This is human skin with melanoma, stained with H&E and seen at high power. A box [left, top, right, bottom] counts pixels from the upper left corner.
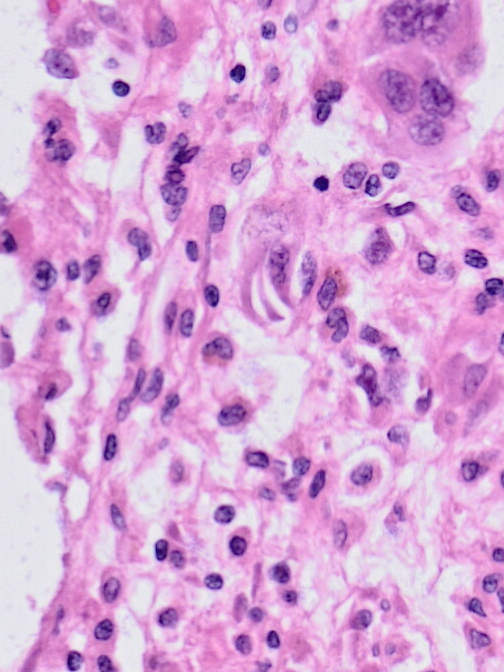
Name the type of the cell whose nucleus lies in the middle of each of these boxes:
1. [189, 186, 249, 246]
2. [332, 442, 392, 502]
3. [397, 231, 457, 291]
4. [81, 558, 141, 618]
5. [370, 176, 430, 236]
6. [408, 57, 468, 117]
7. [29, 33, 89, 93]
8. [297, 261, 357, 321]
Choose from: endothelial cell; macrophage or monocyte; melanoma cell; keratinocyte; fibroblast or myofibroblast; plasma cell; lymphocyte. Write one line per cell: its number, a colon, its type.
1: macrophage or monocyte
2: macrophage or monocyte
3: macrophage or monocyte
4: macrophage or monocyte
5: fibroblast or myofibroblast
6: melanoma cell
7: melanoma cell
8: macrophage or monocyte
